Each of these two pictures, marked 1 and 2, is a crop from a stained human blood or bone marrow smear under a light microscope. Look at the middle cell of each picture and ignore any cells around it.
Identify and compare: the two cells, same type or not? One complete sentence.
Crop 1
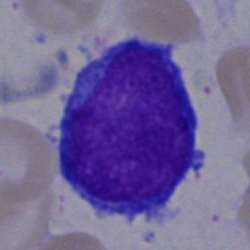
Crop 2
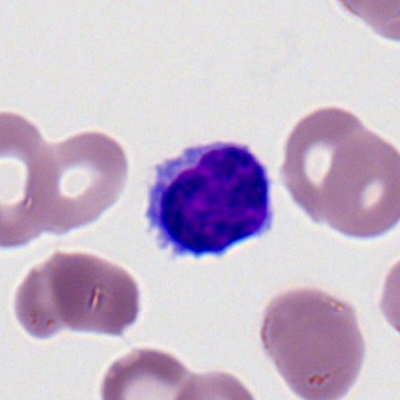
No, on this set crop 1 shows a blast and crop 2 shows a lymphocyte.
